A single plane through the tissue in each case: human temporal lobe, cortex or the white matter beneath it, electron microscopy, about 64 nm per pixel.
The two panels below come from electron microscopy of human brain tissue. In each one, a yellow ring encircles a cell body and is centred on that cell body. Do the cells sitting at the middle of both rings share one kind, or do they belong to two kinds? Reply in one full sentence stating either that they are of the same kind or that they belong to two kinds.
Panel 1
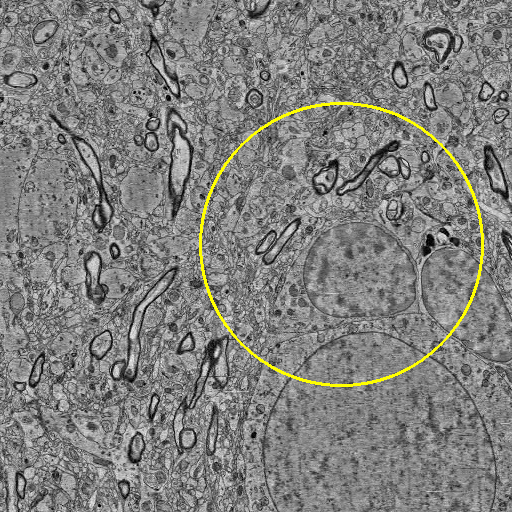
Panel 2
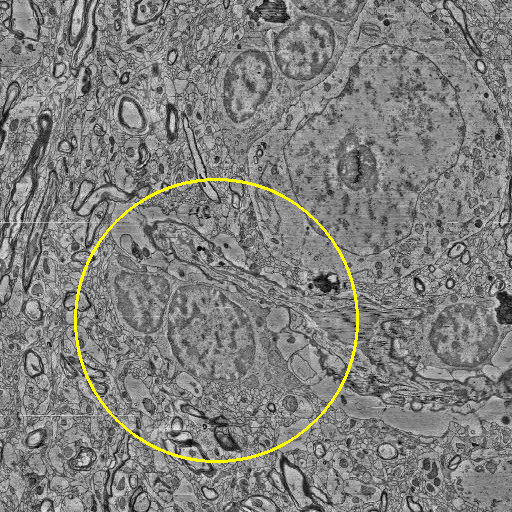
The cells at the centres of the two rings are of the same kind.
